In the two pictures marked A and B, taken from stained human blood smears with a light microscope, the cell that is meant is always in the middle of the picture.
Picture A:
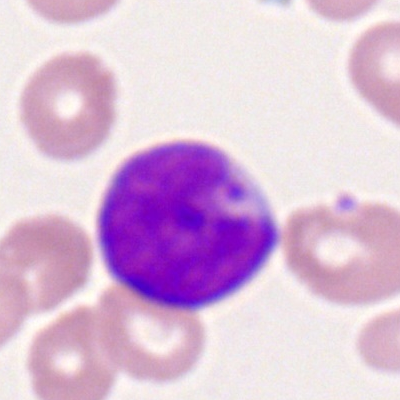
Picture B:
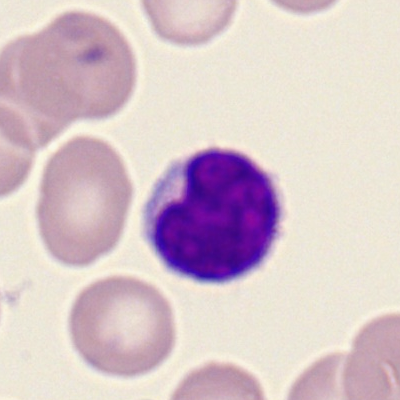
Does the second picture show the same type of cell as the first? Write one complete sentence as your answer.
No. Picture A shows a myeloblast, but picture B shows a lymphocyte.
